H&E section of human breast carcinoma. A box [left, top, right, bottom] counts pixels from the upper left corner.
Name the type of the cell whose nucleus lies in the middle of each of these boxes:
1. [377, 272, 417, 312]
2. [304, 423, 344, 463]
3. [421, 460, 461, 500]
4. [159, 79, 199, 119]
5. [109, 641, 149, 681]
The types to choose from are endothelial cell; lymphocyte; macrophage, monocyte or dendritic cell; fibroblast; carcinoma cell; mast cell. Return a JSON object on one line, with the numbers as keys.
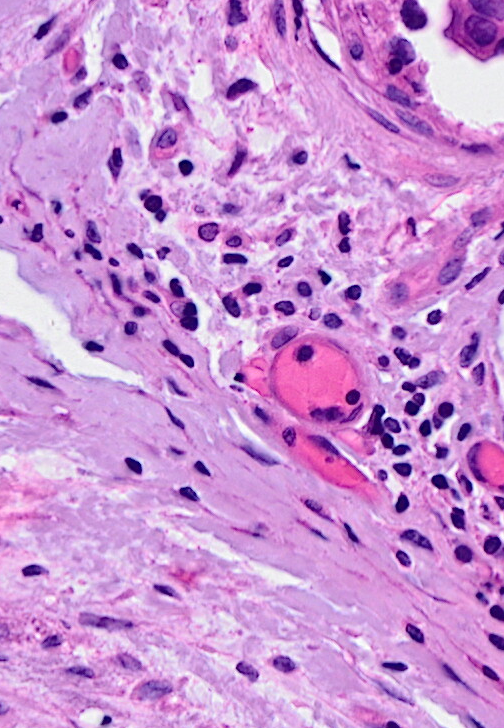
{"1": "endothelial cell", "2": "endothelial cell", "3": "lymphocyte", "4": "fibroblast", "5": "macrophage, monocyte or dendritic cell"}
